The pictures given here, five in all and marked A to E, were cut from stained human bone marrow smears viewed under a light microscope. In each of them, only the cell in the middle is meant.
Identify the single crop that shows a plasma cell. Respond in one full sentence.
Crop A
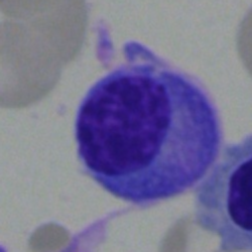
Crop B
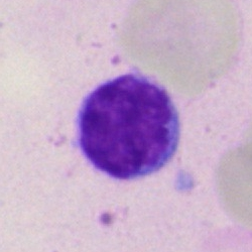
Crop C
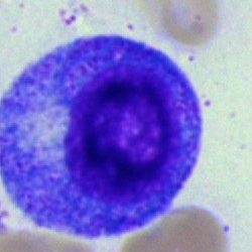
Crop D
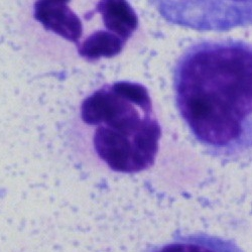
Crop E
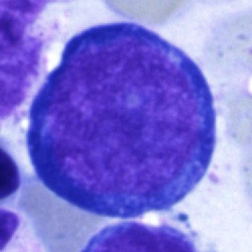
Selected crop: A, which is the one that shows a plasma cell.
